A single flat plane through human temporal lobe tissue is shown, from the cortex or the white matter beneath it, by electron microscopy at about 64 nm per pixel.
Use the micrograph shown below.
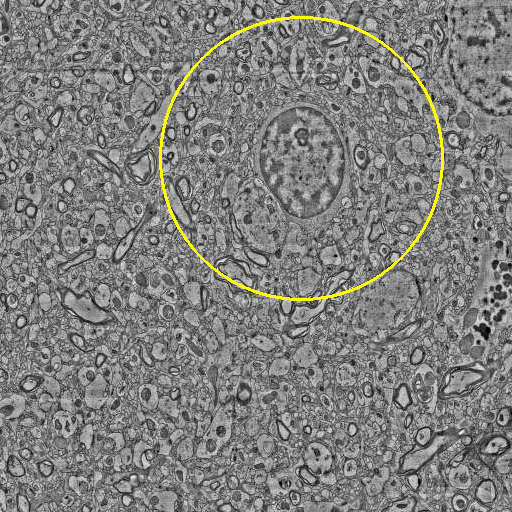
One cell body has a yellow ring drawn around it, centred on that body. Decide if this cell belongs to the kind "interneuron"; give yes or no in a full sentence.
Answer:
No, the cell lying at the ring's centre in the micrograph is of another kind.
